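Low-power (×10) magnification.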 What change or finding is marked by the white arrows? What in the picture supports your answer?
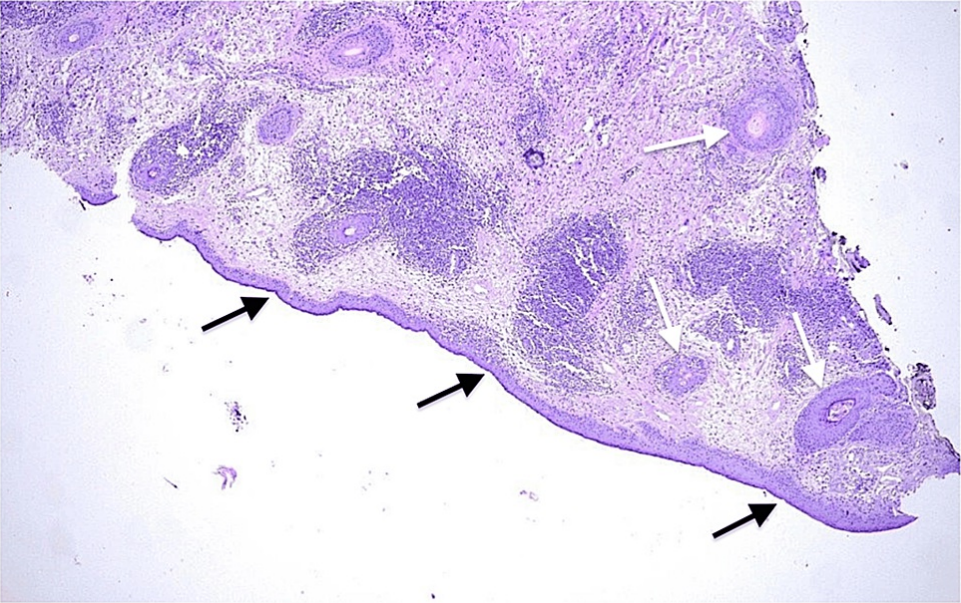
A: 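Follicular plugging. The white arrows point to round follicular structures in the dermis. Each is ringed by concentric layers of epithelium. The centres of these structures hold pale pink material.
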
